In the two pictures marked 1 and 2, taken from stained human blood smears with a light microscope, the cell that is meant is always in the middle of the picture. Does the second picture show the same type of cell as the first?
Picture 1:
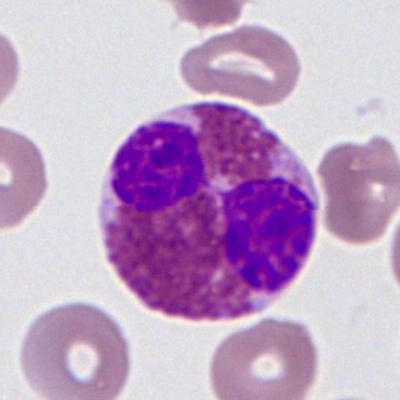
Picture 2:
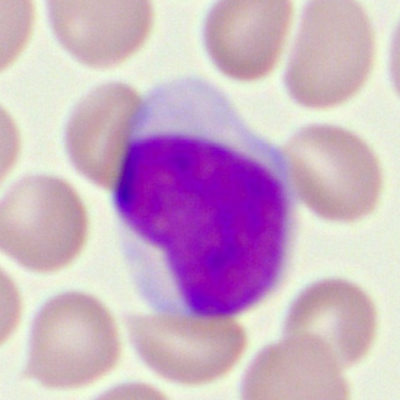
no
